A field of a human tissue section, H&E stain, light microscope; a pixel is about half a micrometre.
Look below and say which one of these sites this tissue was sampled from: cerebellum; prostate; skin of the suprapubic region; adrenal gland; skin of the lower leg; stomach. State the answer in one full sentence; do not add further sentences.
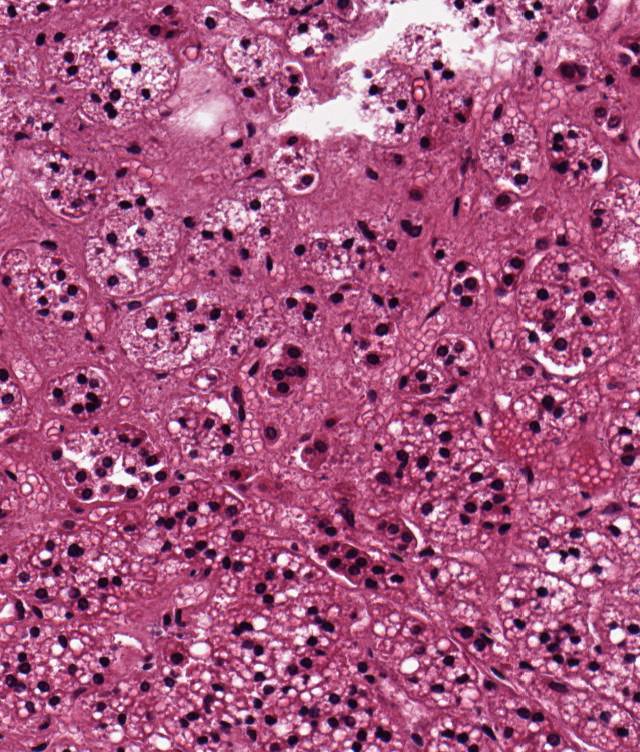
From the adrenal gland came the tissue in this section.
